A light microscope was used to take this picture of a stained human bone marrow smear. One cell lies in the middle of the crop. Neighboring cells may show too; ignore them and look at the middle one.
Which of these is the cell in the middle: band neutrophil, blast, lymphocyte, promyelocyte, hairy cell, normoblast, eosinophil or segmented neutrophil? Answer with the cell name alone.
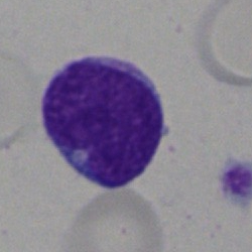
lymphocyte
